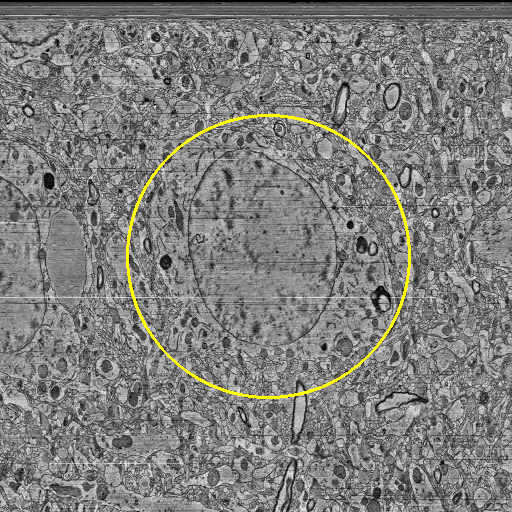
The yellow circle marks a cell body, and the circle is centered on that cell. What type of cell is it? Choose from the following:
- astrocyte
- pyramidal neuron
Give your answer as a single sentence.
This cell body belongs to a pyramidal neuron.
